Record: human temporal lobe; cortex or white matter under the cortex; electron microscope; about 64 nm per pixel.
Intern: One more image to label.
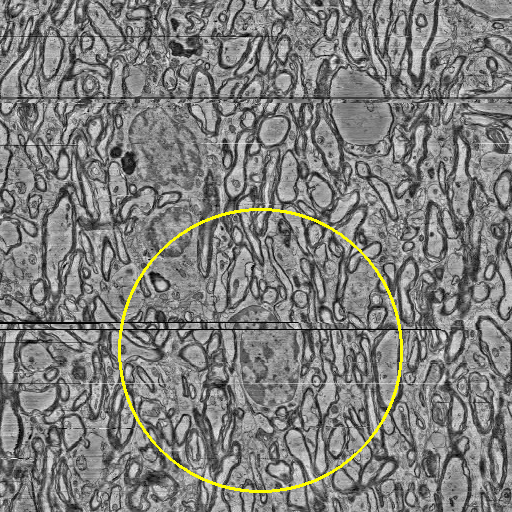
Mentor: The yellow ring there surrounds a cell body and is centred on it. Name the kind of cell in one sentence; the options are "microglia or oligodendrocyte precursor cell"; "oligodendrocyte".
The ring marks the cell body of a microglial cell or oligodendrocyte precursor cell.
